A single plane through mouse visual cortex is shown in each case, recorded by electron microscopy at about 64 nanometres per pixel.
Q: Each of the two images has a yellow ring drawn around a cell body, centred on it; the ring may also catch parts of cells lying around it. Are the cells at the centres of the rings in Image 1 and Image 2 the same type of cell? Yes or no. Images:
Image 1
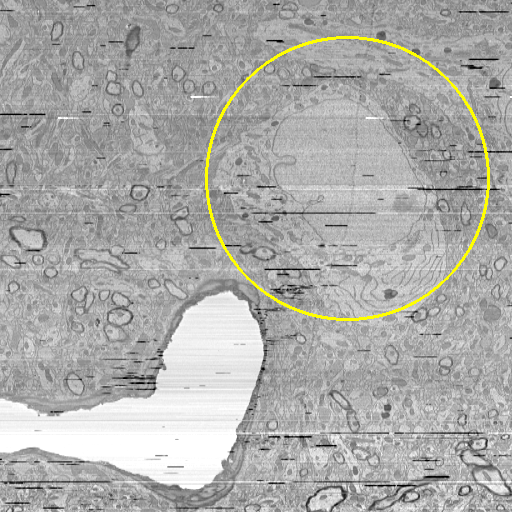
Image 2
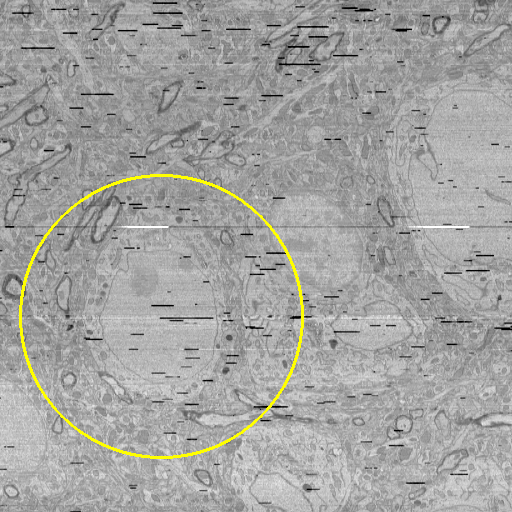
yes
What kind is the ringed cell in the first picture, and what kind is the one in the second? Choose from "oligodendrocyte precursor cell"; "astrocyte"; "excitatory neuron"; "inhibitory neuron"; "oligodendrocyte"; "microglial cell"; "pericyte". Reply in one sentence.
In both pictures the ring is centred on an excitatory neuron.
